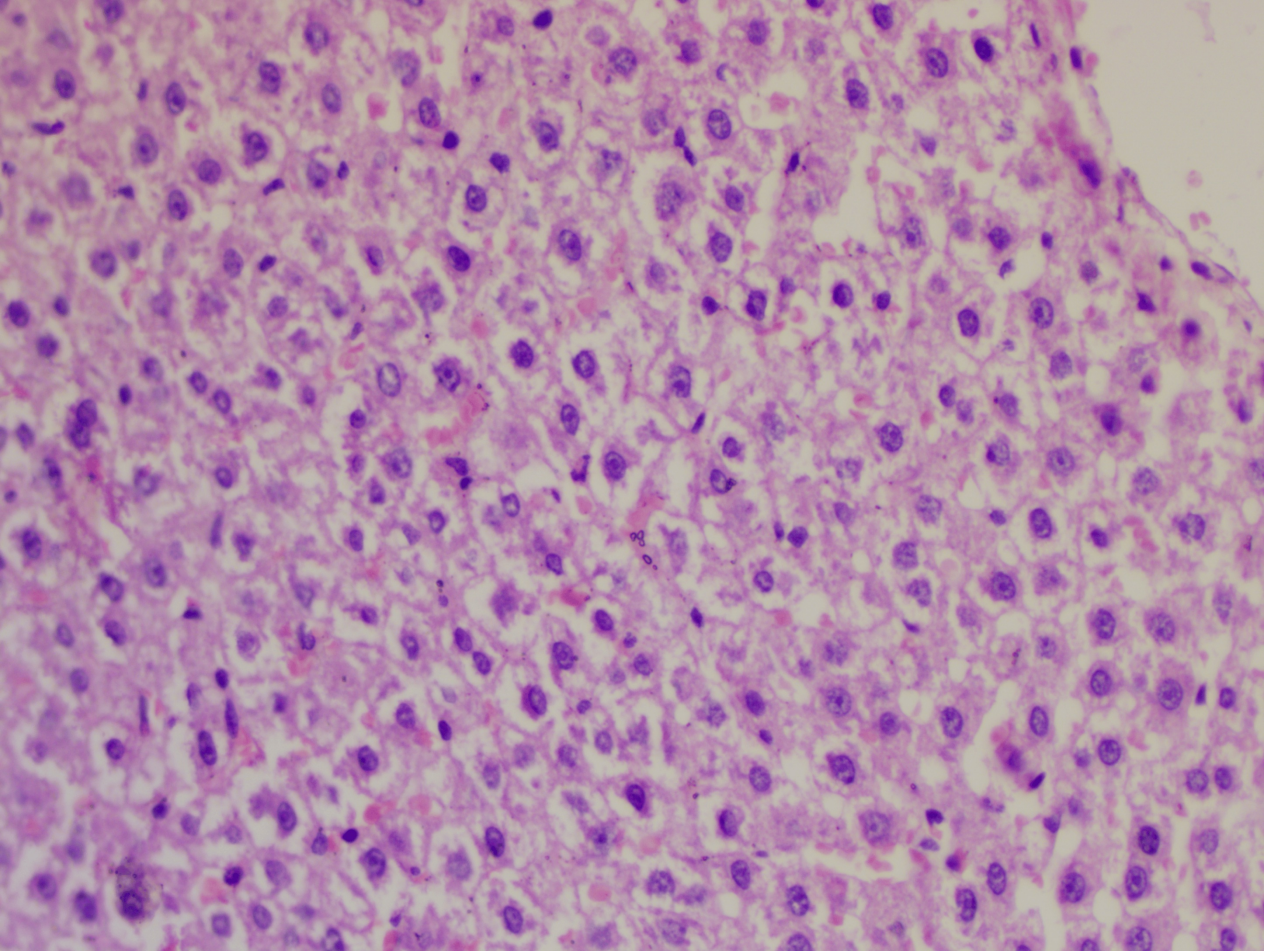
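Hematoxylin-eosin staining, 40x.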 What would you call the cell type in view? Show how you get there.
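Large polygonal cells packed in plates with narrow spaces between them. Small dark elongated nuclei lie in the narrow spaces between the plates. So: hepatocyte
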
